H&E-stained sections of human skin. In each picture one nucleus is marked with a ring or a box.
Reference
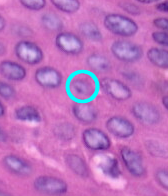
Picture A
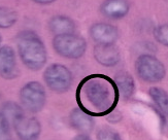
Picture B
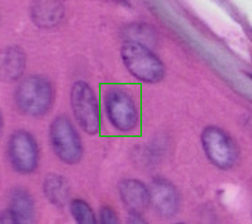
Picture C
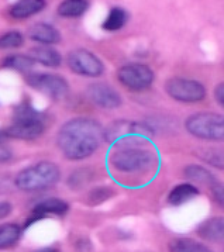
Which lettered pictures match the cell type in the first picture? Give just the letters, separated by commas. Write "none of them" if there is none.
B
